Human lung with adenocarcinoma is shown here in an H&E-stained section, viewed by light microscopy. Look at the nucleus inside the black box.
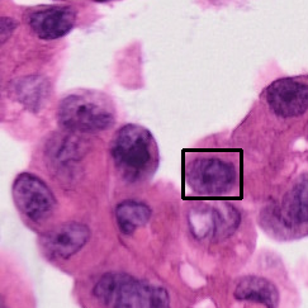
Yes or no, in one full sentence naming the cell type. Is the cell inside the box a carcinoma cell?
Yes, within this tissue section, the cell inside the box is a carcinoma cell.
